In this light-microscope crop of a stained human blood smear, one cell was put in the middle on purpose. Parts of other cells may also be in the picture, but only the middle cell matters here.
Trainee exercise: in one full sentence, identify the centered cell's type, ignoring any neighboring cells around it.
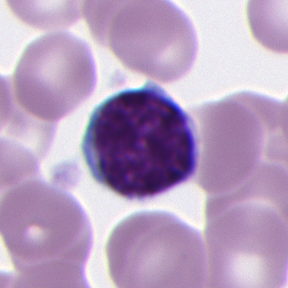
This crop is built around a typical lymphocyte at its centre.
